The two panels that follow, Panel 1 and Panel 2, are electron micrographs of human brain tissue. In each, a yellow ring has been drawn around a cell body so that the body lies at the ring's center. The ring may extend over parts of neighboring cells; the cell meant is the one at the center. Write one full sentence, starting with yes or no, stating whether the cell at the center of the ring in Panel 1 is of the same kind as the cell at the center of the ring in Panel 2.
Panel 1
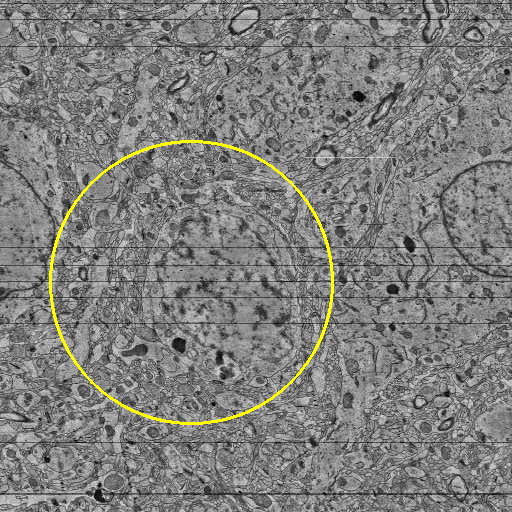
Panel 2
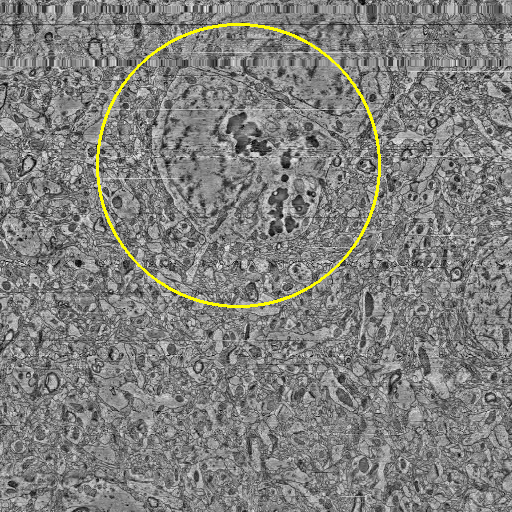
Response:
Yes, the cells in both panels are of the same kind.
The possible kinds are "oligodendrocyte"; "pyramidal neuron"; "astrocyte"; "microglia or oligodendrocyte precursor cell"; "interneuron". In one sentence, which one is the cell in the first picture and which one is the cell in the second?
Each one of the two ringed cells is an interneuron.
